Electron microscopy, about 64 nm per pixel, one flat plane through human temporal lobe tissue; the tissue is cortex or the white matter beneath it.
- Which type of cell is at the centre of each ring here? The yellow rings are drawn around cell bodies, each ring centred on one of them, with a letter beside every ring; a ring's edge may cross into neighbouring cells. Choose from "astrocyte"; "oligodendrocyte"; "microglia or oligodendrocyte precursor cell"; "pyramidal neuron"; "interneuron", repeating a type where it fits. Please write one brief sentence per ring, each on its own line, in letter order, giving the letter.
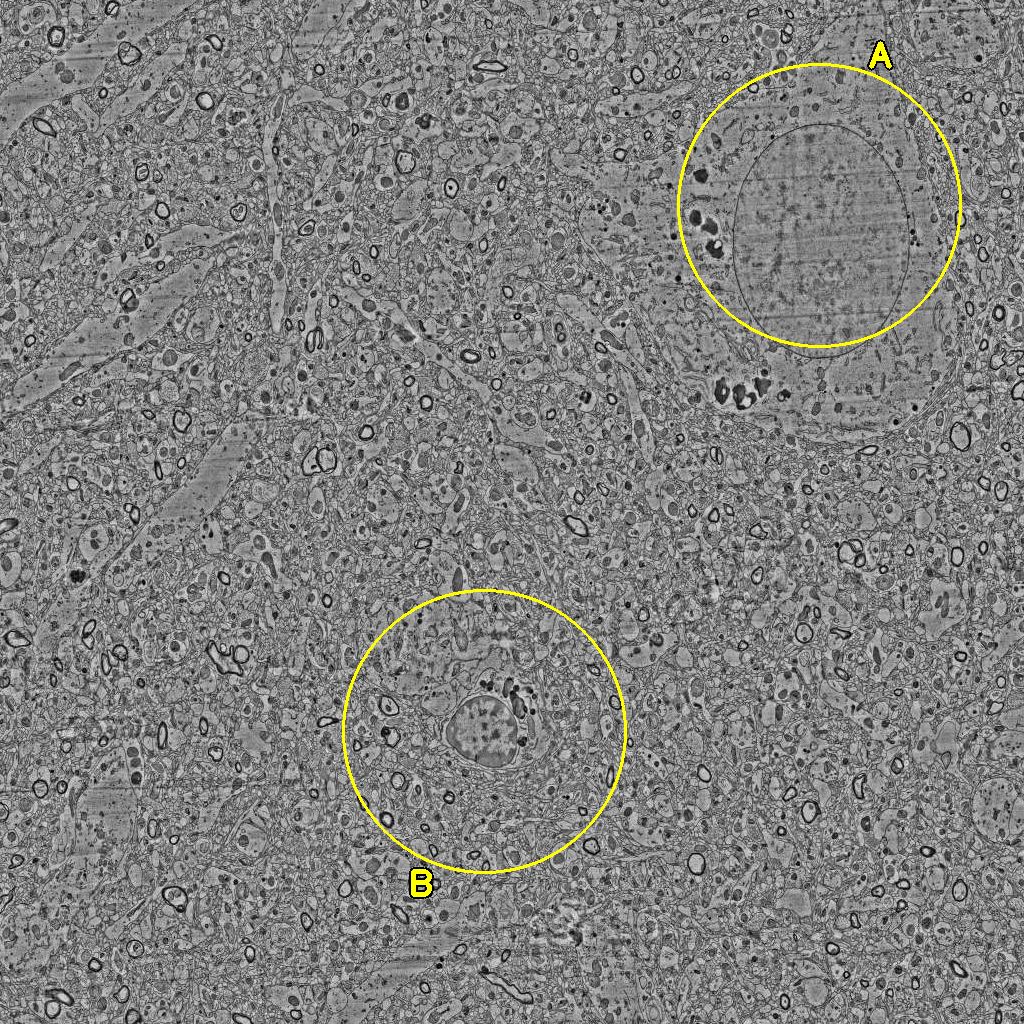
Ring A is centred over a pyramidal neuron.
Ring B is centred over a microglial cell or oligodendrocyte precursor cell.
